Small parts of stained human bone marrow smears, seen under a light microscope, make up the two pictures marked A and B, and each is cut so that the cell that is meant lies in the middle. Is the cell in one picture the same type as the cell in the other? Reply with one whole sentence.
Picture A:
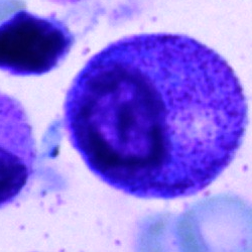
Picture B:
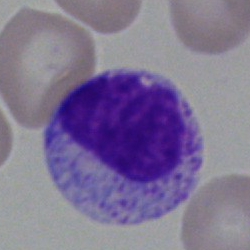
Yes; the cells in both pictures are myelocytes.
